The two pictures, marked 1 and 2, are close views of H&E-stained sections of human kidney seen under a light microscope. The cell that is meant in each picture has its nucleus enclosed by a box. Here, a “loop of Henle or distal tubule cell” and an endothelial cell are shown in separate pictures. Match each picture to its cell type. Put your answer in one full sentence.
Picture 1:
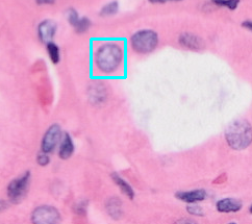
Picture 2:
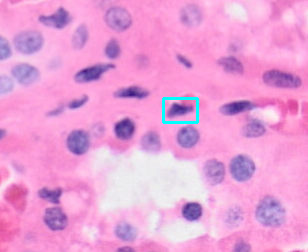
The cell in picture 1 is a “loop of Henle or distal tubule cell”, and the one in picture 2 is an endothelial cell.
